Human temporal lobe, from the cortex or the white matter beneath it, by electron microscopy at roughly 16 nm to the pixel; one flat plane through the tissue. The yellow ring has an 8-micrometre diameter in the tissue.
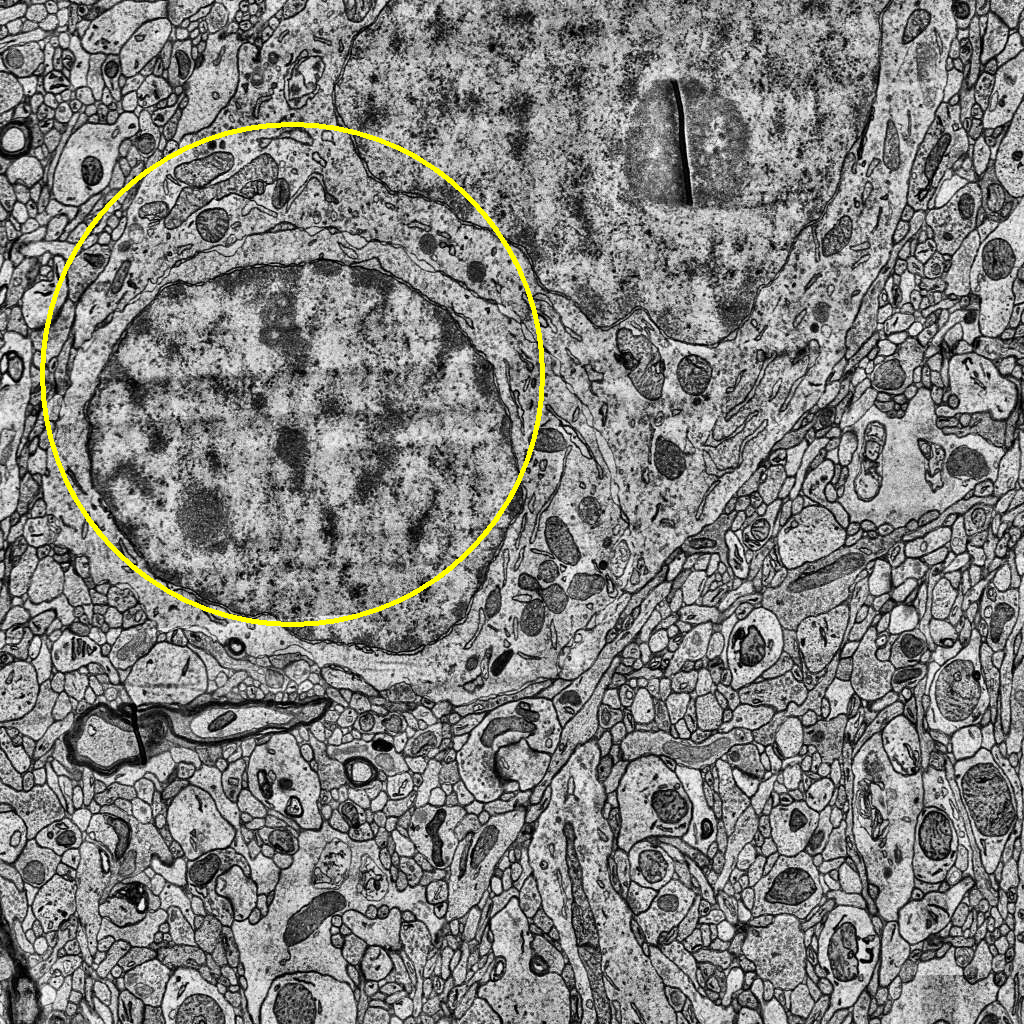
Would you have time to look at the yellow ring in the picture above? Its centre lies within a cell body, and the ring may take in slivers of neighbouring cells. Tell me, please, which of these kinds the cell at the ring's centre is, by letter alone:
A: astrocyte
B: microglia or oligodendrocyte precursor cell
B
